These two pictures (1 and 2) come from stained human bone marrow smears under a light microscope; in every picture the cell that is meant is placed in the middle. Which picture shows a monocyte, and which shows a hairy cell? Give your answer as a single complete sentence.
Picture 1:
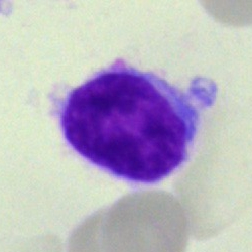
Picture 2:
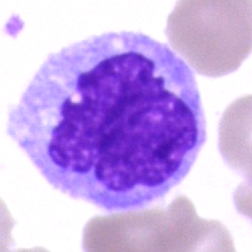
In picture 1 the cell is a hairy cell; in picture 2, a monocyte.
